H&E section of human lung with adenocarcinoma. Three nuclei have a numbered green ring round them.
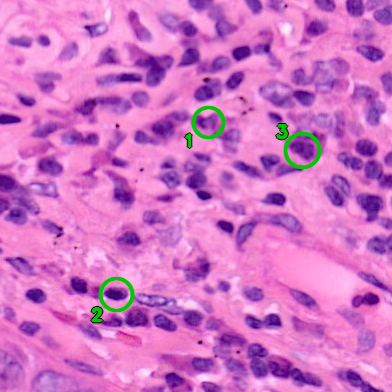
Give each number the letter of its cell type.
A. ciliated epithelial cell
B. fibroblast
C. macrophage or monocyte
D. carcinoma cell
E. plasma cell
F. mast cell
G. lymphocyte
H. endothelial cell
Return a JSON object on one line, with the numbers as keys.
{"1": "E", "2": "G", "3": "E"}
